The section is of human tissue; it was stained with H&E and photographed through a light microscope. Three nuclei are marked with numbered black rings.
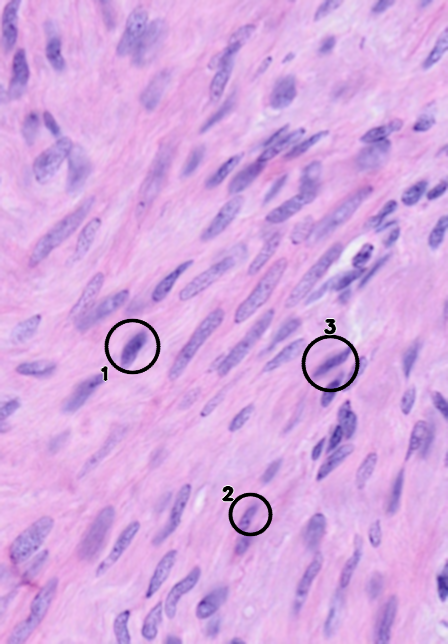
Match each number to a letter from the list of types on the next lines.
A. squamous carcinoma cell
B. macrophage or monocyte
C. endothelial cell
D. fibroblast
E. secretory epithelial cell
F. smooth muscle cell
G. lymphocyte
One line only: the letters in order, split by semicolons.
D; F; D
